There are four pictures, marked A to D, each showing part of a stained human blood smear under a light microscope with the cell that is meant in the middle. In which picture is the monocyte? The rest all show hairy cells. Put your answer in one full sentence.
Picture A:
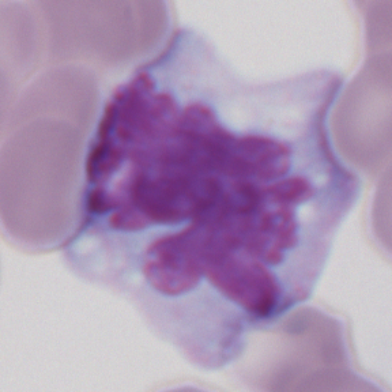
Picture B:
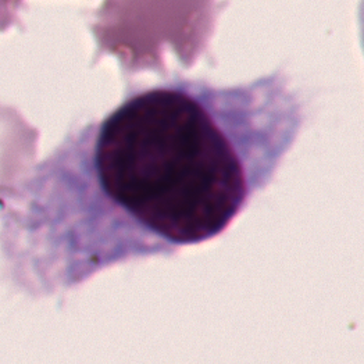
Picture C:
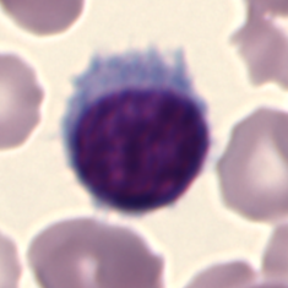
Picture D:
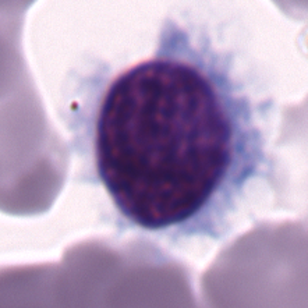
The monocyte is the one in picture A.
